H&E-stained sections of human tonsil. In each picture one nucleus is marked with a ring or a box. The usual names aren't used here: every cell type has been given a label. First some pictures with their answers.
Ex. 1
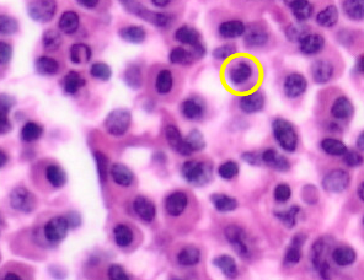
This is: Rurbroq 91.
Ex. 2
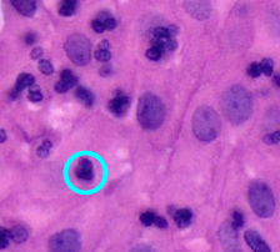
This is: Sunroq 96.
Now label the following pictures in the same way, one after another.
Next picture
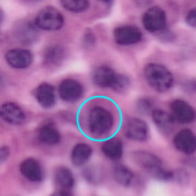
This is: Rurbroq 91.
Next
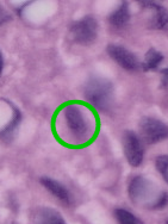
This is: Sunroq 96.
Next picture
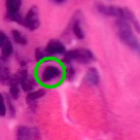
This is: Rurbroq 91.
